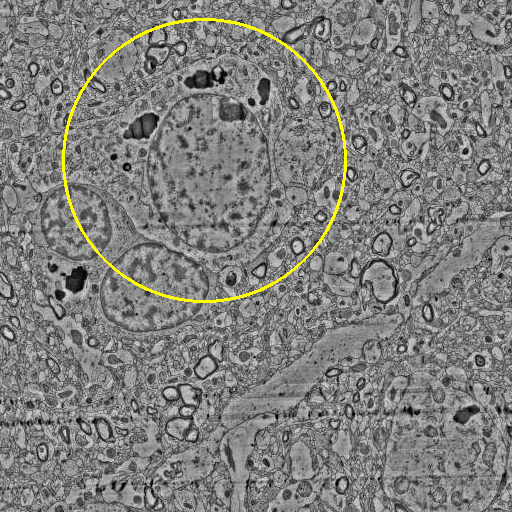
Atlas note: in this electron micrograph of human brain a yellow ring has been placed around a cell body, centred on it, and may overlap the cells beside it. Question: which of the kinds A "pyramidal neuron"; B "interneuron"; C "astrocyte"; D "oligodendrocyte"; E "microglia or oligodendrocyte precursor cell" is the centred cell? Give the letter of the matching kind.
B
